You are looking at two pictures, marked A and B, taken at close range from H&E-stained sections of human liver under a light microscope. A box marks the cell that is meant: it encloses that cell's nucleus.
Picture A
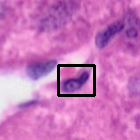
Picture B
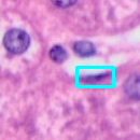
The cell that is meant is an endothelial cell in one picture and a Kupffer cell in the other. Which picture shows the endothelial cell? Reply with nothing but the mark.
B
